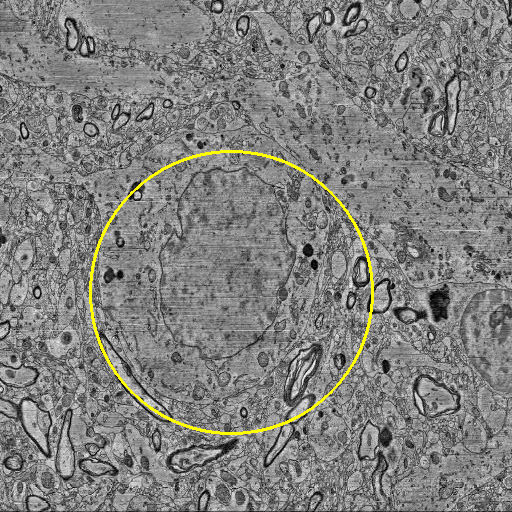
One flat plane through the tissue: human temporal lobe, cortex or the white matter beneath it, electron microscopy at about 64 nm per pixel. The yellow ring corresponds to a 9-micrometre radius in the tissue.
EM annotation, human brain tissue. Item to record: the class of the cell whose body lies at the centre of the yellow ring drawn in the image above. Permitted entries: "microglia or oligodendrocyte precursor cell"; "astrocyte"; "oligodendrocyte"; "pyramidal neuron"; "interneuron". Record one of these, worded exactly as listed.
pyramidal neuron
